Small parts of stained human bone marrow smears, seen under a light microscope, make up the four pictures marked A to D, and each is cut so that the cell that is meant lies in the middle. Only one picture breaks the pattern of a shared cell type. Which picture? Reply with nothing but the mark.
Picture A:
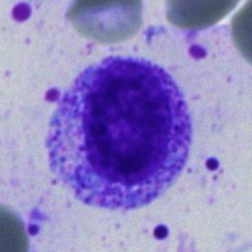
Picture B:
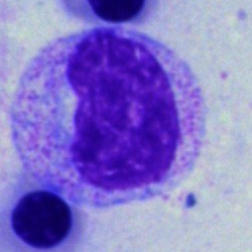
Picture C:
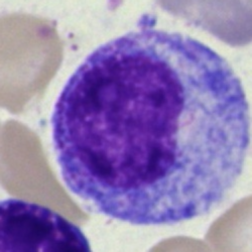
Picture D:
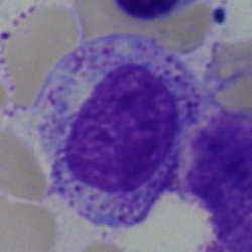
C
